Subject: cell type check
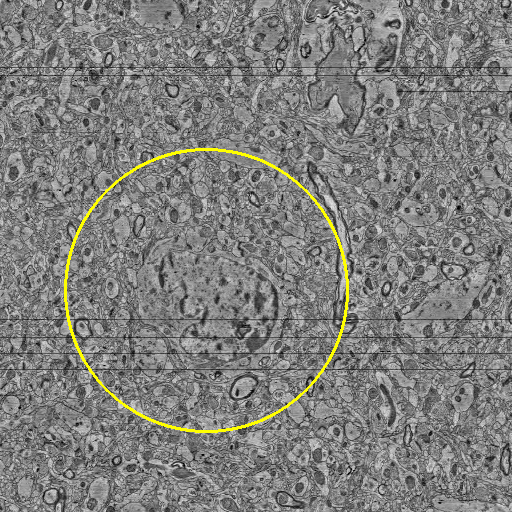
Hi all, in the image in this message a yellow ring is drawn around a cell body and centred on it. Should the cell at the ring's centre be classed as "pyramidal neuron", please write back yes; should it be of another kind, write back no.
no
